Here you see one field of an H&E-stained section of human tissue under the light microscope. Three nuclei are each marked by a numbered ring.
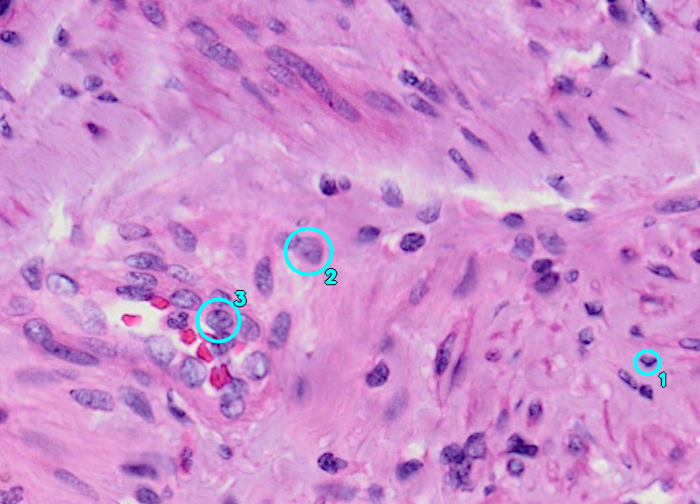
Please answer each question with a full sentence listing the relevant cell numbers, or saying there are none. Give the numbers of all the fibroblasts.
Into the category of fibroblasts fall the cells numbered 1 and 2.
